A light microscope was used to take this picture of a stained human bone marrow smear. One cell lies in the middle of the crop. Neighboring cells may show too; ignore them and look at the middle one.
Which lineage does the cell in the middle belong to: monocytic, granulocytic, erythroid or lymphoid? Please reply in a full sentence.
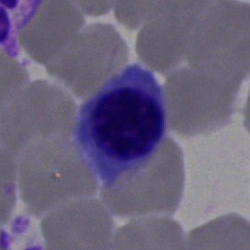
The cell located at the center of the crop is erythroid by lineage.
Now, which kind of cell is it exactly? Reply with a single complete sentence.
Answering briefly, the cell in the middle is an erythroblast.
